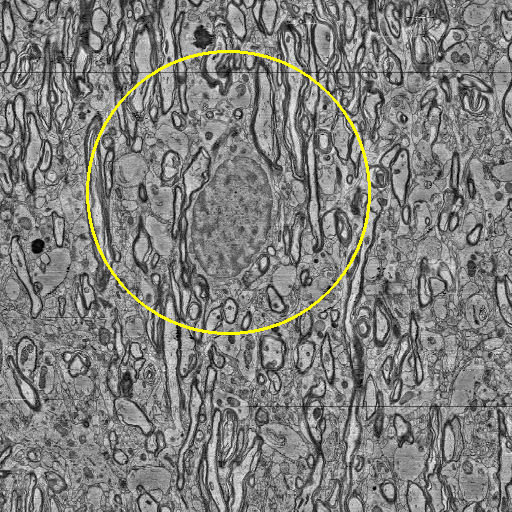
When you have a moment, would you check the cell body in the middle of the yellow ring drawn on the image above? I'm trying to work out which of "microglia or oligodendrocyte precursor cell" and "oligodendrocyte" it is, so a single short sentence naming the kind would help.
This cell body belongs to an oligodendrocyte.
